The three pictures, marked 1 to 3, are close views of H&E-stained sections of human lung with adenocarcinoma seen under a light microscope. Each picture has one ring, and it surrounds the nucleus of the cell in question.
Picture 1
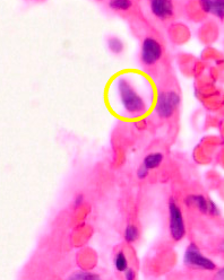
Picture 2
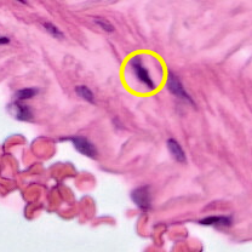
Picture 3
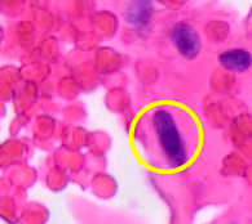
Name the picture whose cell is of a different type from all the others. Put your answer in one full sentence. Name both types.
All pictures except 2 show type I pneumocytes; picture 2 shows a “smooth muscle cell or pericyte”.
